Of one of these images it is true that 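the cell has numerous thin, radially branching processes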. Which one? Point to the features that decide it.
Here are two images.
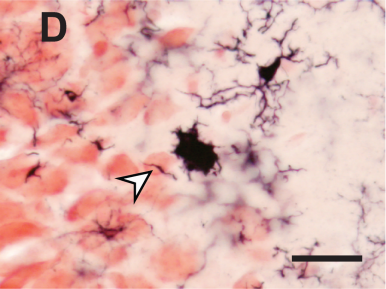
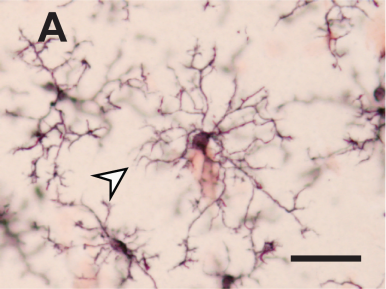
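The second image. First image: the marked cell is a compact dark body with almost no processes. Second image: the marked cell sends out many fine, branching processes in all directions.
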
